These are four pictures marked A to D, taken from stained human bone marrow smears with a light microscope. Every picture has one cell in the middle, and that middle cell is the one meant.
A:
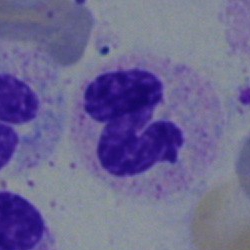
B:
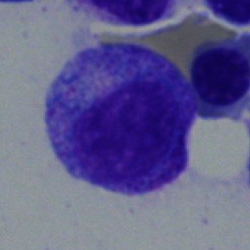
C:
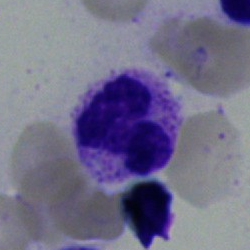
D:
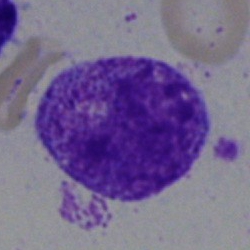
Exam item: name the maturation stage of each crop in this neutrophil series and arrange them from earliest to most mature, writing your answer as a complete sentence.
The order from the least mature cell to the most mature cell is crop B (a myelocyte), crop D (a metamyelocyte), crop A (a band neutrophil) and crop C (a segmented neutrophil).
